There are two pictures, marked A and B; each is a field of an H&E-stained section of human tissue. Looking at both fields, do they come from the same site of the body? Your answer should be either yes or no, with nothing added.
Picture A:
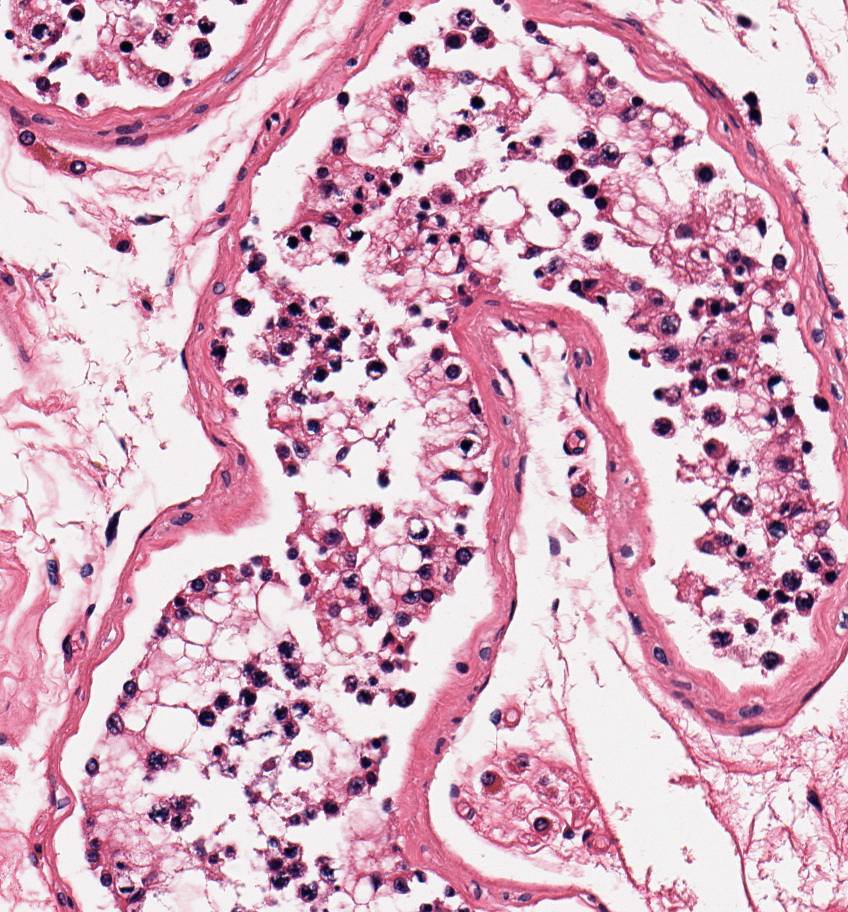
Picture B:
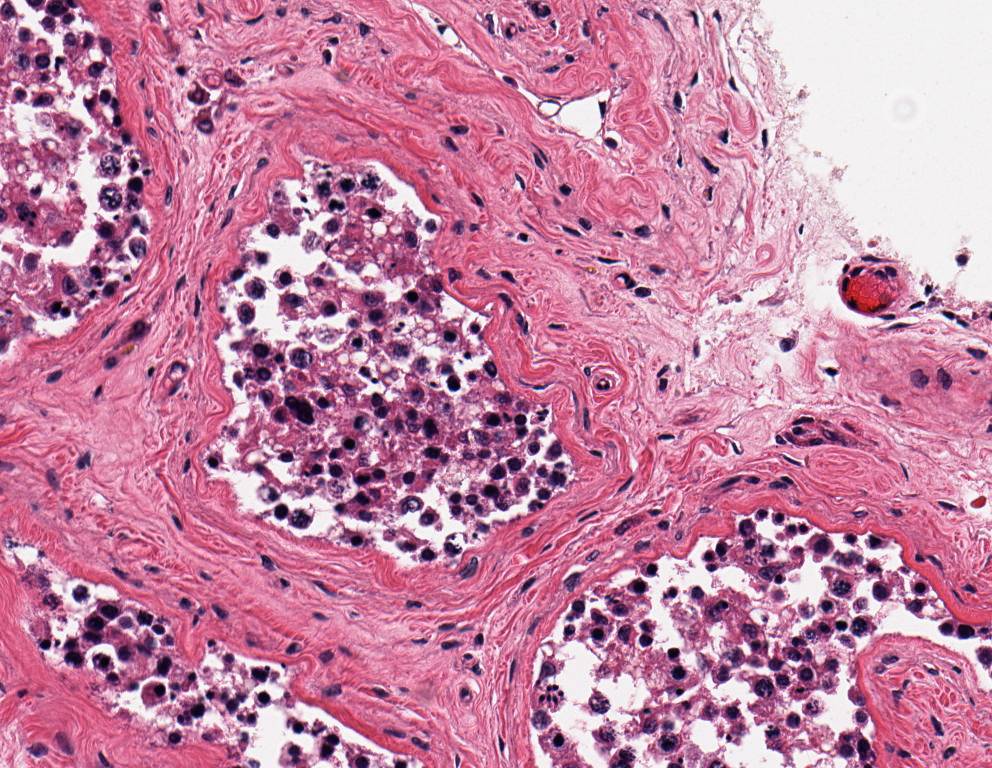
yes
